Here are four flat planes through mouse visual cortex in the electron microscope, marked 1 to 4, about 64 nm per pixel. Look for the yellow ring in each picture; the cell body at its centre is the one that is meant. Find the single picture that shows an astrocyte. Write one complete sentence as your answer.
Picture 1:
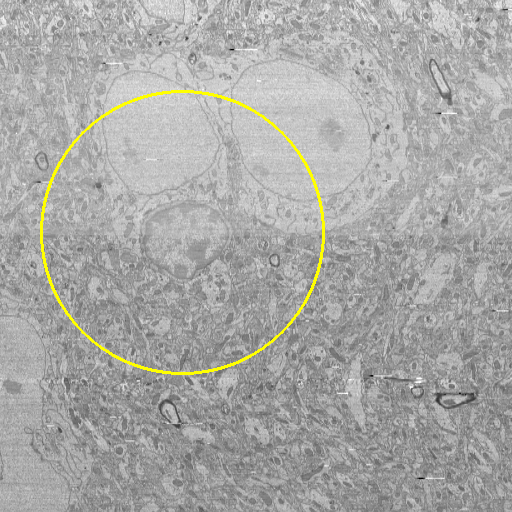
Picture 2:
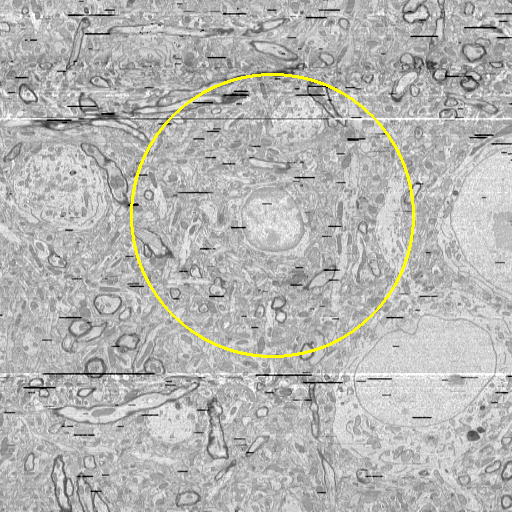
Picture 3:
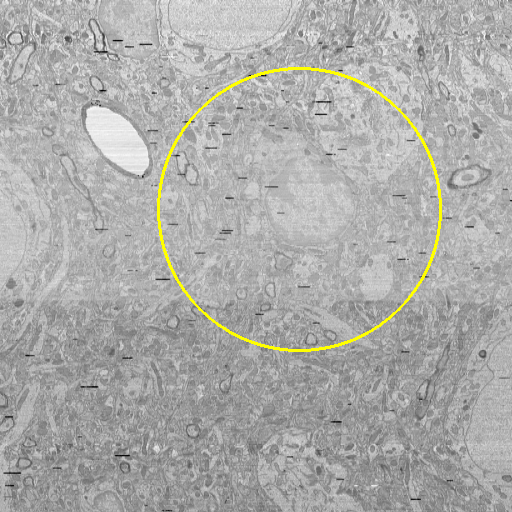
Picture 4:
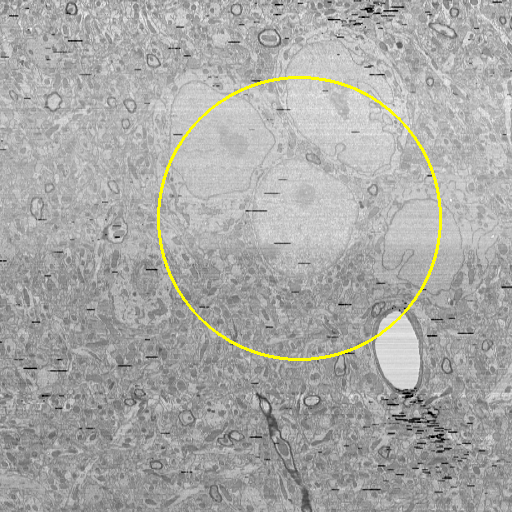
The astrocyte is the one in picture 4.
